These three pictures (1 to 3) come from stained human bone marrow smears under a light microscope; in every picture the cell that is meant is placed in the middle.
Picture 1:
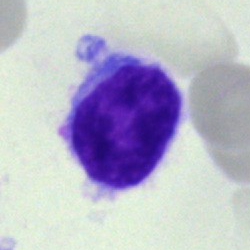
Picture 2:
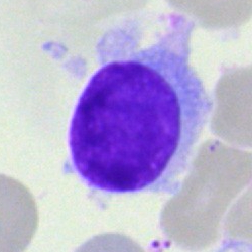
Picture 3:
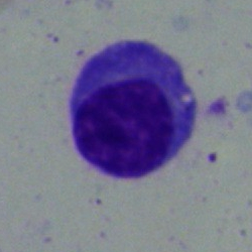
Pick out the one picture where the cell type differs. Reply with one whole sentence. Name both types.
Unlike the rest, which show hairy cells, picture 3 shows a plasma cell.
